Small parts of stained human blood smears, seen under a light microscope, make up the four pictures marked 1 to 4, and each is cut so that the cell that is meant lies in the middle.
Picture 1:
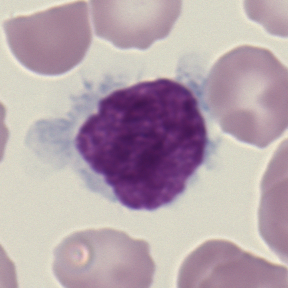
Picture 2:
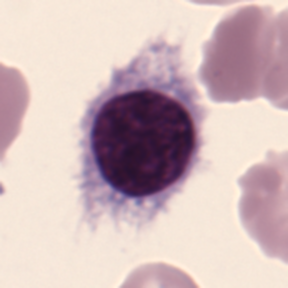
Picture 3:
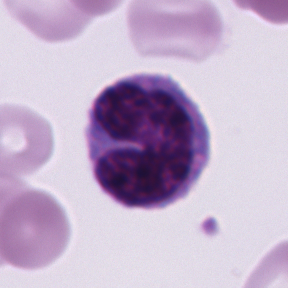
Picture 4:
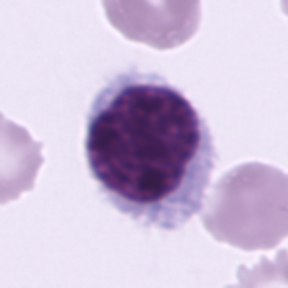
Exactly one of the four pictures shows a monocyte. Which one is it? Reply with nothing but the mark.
3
